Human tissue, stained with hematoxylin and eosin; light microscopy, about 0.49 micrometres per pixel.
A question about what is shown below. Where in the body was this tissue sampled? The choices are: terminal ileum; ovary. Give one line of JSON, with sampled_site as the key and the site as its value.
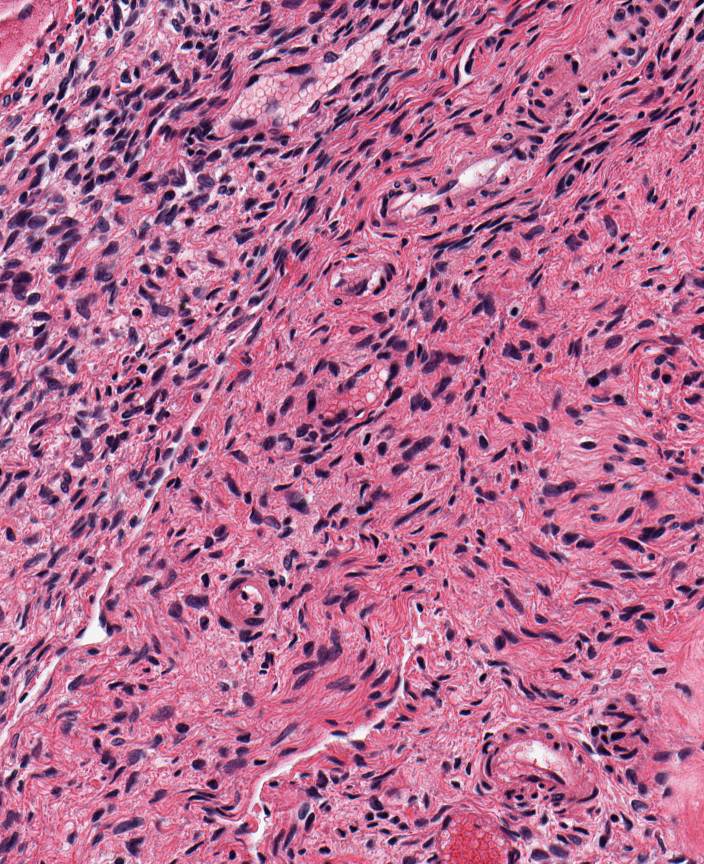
{"sampled_site": "ovary"}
